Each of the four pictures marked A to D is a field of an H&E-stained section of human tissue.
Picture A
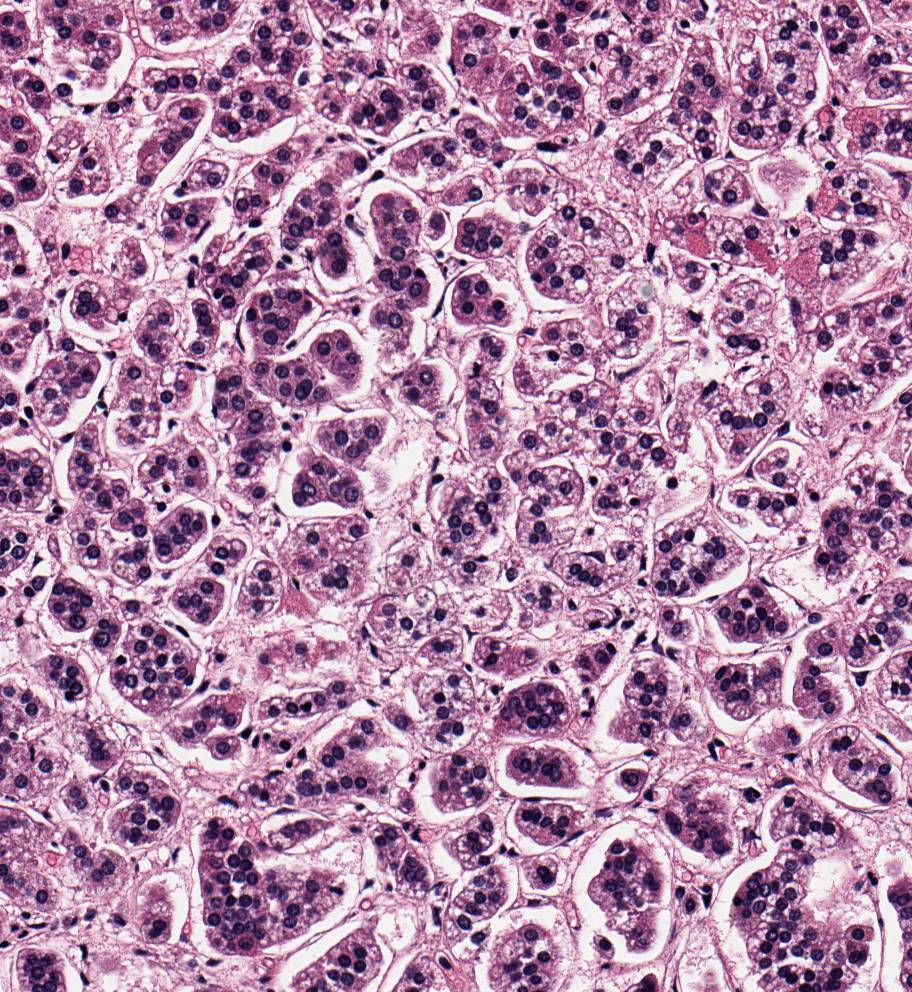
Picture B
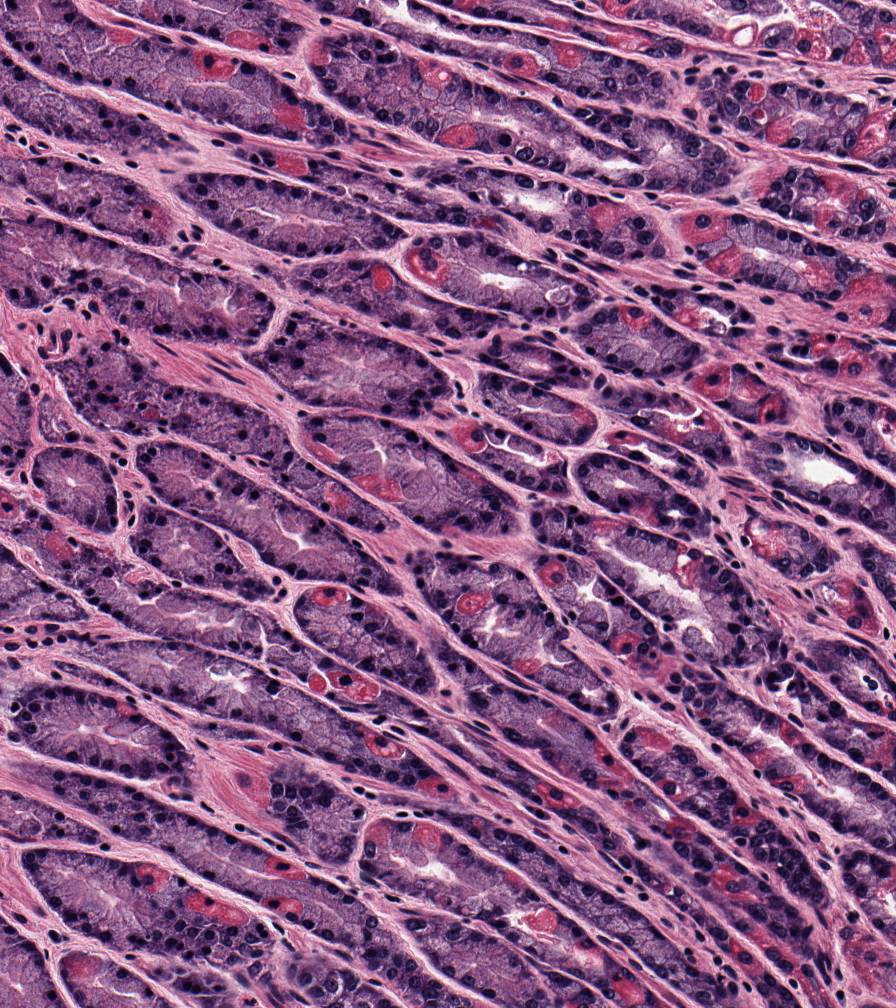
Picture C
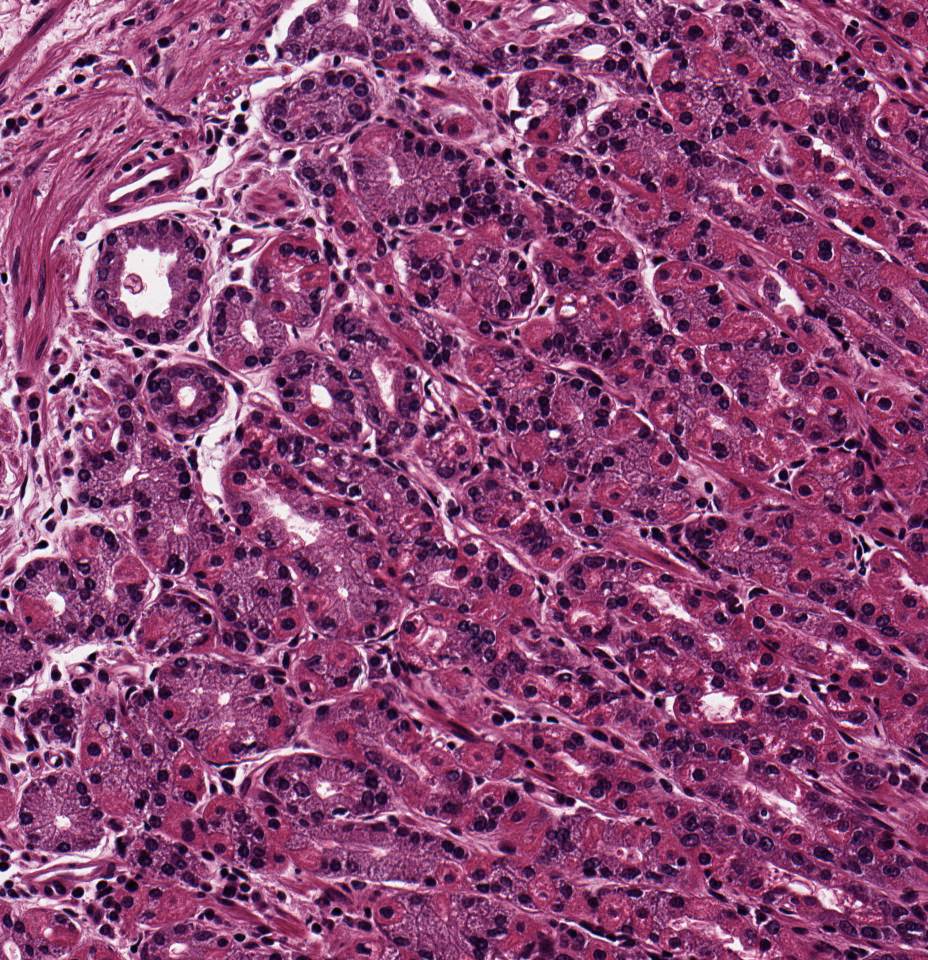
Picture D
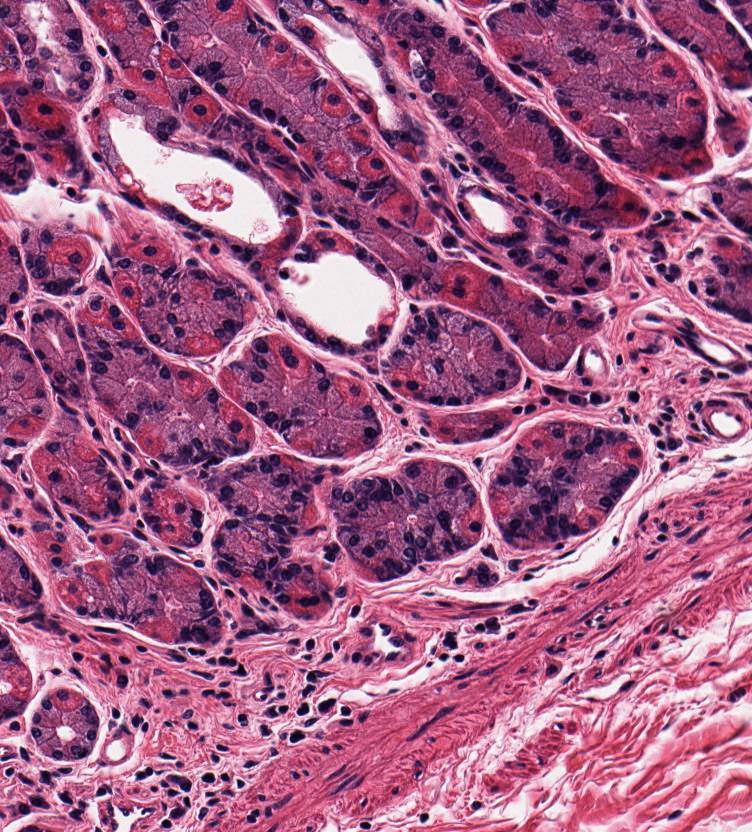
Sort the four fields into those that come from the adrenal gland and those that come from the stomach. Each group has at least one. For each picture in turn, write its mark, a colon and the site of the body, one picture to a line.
A: adrenal gland
B: stomach
C: stomach
D: stomach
